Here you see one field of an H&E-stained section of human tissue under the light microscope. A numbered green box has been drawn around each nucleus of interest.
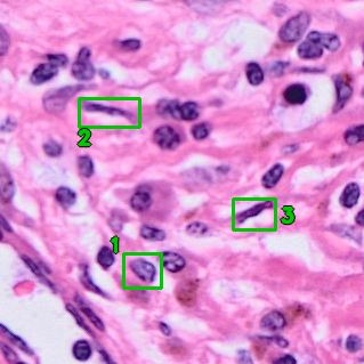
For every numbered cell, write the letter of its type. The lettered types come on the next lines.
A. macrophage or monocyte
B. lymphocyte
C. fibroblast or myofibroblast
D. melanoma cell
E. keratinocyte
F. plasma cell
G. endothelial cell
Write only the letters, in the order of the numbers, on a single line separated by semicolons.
B; C; C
